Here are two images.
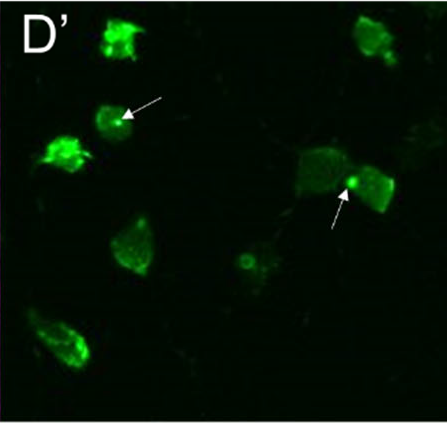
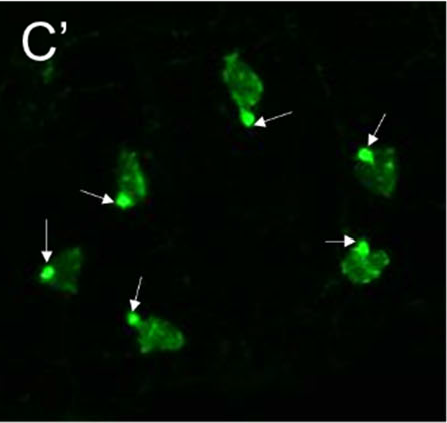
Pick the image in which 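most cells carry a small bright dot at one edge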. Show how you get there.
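The second image. First image: only a couple of the green cells show a bright dot. Second image: nearly every green cell has a distinct bright dot at its edge.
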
